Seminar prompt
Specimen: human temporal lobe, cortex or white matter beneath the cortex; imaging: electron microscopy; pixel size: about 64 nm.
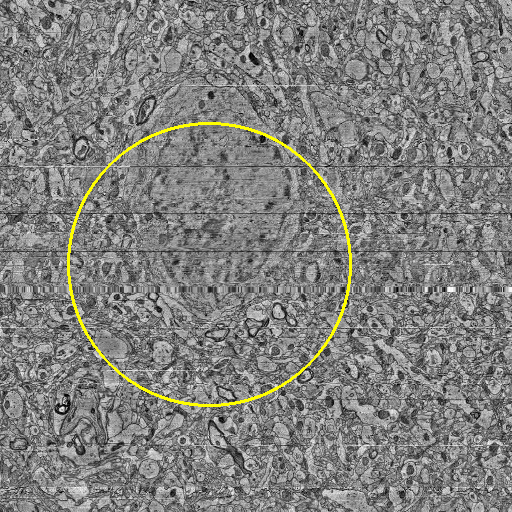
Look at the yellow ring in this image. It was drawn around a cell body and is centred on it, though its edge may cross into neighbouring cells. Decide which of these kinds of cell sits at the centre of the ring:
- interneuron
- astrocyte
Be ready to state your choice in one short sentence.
The kind of cell at the ring's centre is an interneuron.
